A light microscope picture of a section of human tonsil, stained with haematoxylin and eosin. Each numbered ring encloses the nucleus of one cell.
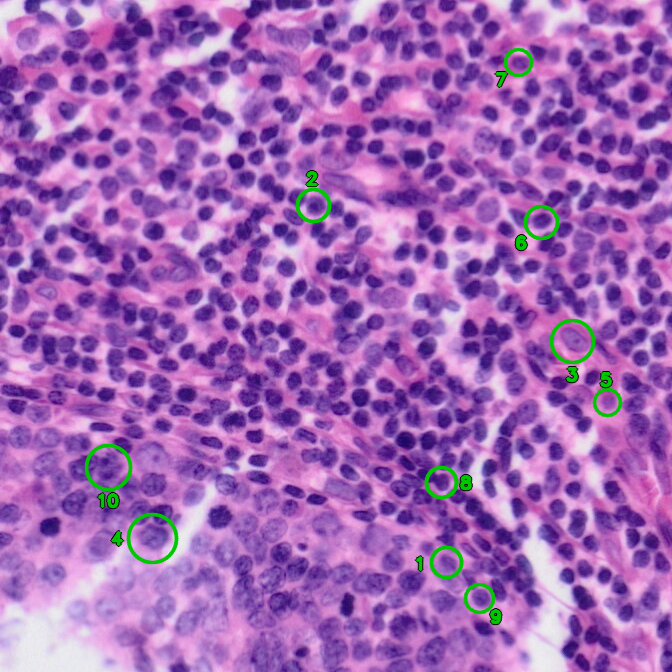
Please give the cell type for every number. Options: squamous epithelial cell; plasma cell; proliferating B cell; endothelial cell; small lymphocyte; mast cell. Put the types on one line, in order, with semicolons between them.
proliferating B cell; small lymphocyte; endothelial cell; proliferating B cell; endothelial cell; small lymphocyte; endothelial cell; small lymphocyte; proliferating B cell; proliferating B cell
